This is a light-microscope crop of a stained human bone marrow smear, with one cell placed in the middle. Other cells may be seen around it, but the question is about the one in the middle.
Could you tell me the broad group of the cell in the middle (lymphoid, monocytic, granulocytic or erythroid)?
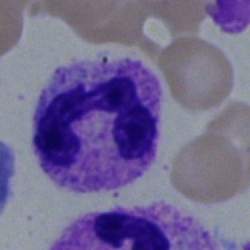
granulocytic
